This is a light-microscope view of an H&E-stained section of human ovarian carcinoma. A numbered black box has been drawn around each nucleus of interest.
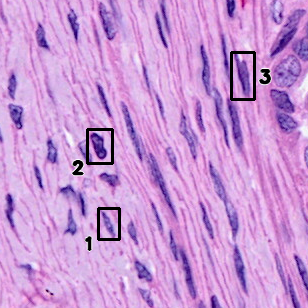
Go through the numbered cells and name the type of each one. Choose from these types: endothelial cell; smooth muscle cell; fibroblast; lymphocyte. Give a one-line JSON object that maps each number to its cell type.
{"1": "fibroblast", "2": "lymphocyte", "3": "fibroblast"}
